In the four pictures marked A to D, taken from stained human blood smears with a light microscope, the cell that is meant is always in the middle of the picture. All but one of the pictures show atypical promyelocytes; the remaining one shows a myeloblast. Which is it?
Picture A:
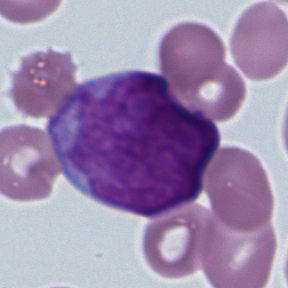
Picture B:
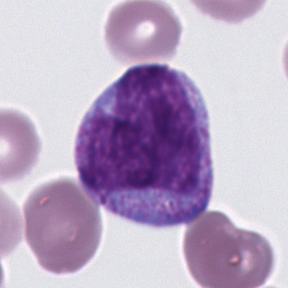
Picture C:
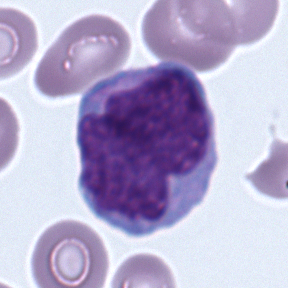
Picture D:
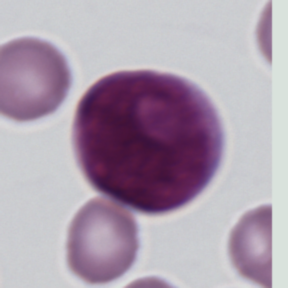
D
